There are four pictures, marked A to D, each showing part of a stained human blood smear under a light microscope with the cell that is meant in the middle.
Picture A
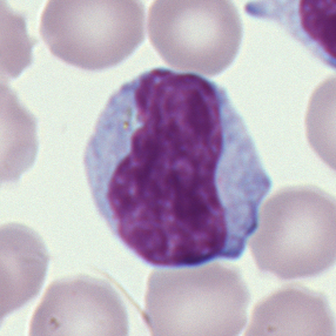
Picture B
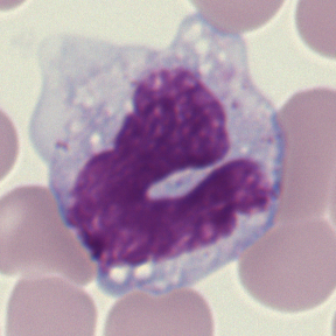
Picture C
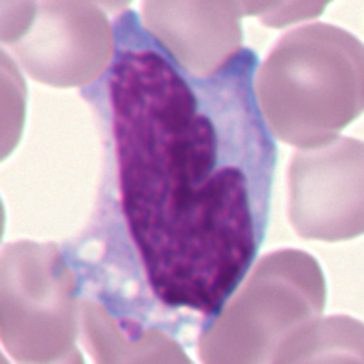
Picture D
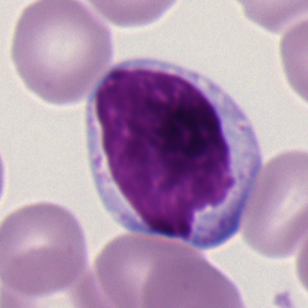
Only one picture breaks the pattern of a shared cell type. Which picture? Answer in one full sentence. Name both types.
The others show monocytes, but picture D shows a large granular lymphocyte.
